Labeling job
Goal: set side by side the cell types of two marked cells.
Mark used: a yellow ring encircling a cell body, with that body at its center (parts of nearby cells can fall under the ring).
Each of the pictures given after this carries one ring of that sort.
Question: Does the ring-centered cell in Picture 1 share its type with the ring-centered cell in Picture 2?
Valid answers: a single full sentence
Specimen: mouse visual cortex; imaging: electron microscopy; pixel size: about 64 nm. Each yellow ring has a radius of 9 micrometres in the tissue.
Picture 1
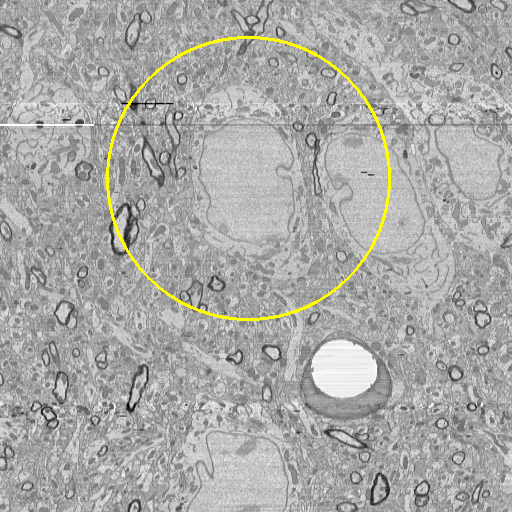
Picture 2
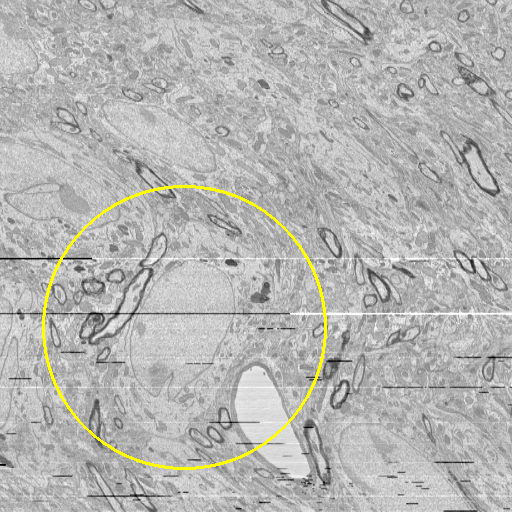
Yes, in Pictures 1 and 2 the cells at the ring centers share one type.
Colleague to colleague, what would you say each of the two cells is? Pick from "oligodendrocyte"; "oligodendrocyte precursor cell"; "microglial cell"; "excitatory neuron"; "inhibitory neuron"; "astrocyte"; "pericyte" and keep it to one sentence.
Each of the two cells is an excitatory neuron.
